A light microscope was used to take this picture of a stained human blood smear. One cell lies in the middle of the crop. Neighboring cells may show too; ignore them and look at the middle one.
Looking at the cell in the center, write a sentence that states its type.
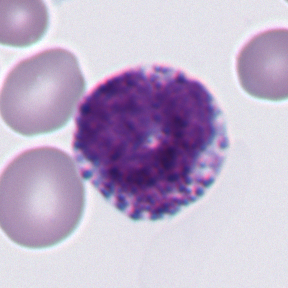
The middle position in this crop is taken by a basophil.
